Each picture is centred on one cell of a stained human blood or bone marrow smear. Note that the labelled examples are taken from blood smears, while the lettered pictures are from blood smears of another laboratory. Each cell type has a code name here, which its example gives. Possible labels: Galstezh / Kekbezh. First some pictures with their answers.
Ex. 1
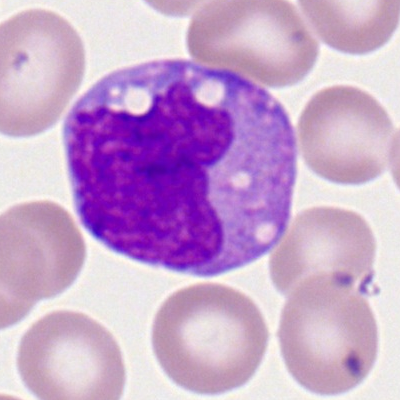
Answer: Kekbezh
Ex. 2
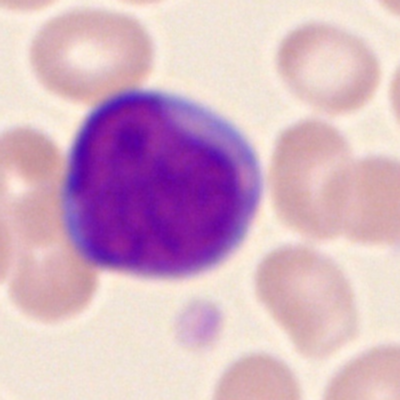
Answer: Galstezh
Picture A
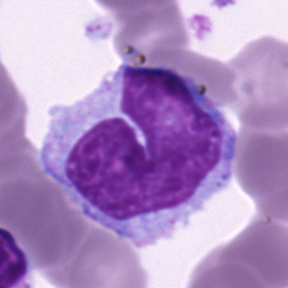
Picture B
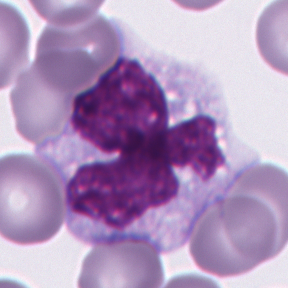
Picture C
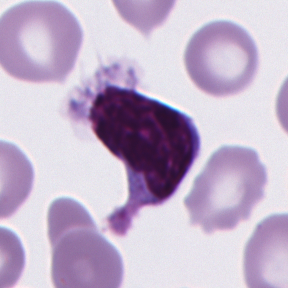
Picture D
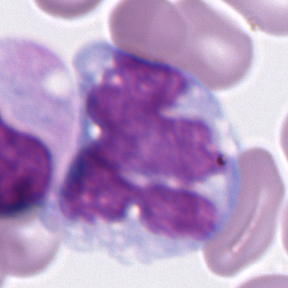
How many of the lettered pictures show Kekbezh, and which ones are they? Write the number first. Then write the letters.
Count: 3 (A, B, D)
